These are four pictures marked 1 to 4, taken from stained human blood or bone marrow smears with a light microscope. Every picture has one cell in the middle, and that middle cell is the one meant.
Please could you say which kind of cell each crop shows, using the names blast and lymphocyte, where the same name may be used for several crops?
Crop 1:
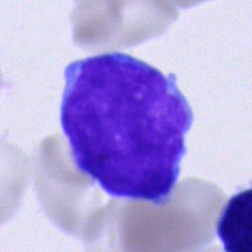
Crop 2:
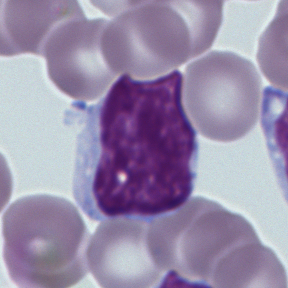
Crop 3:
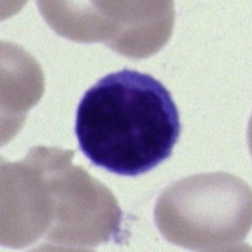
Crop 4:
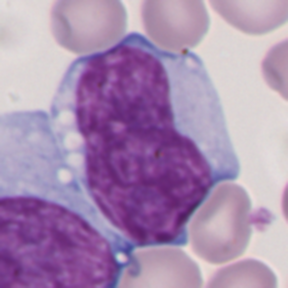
1: blast
2: lymphocyte
3: lymphocyte
4: blast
